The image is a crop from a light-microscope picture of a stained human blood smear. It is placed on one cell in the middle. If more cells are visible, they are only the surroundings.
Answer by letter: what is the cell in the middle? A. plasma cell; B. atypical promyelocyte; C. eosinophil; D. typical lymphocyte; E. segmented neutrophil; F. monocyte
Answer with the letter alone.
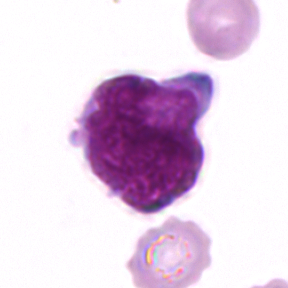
B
